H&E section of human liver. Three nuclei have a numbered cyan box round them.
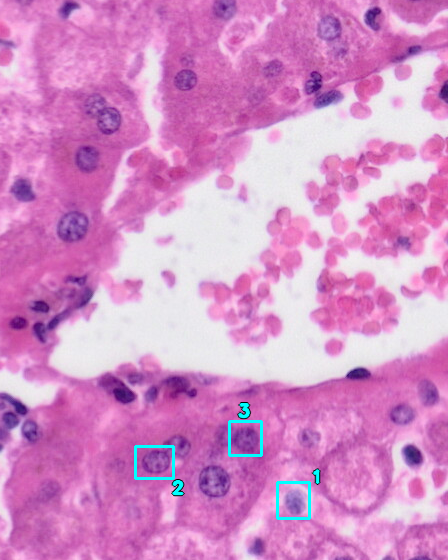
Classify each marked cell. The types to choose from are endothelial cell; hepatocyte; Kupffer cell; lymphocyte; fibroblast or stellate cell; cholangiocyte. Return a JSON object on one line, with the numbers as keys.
{"1": "endothelial cell", "2": "hepatocyte", "3": "hepatocyte"}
